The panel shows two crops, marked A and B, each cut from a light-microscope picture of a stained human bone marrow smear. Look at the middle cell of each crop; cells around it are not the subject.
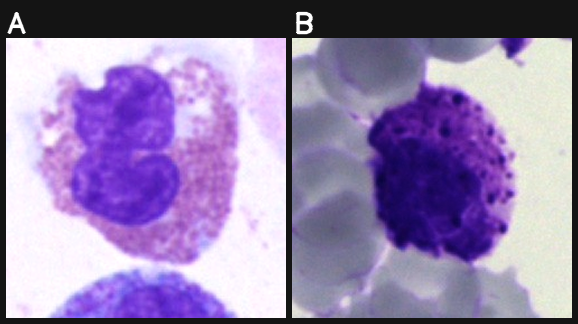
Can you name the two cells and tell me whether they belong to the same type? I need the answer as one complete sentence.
No, the labels go like this: crop A is an eosinophil and crop B is a basophil.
